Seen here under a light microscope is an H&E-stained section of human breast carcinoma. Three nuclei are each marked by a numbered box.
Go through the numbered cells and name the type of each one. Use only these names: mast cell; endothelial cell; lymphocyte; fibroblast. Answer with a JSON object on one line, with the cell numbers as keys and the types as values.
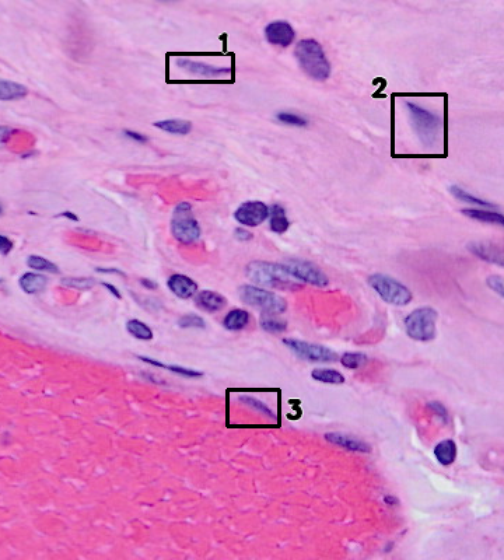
{"1": "fibroblast", "2": "fibroblast", "3": "endothelial cell"}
